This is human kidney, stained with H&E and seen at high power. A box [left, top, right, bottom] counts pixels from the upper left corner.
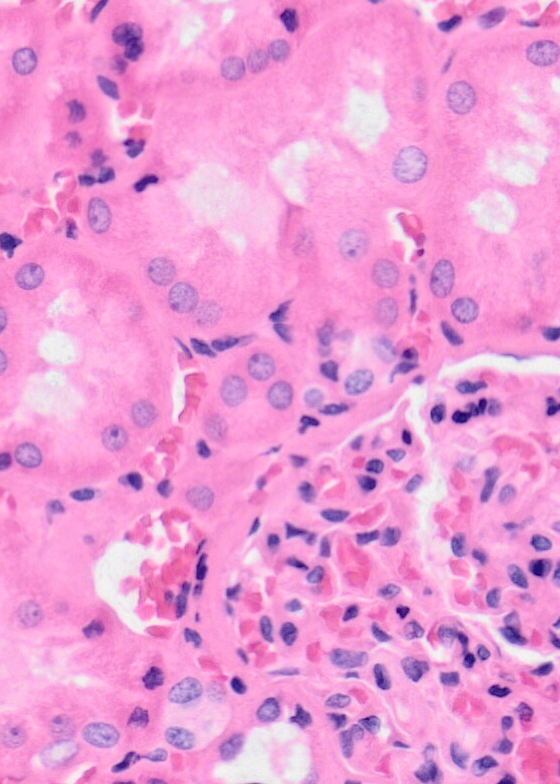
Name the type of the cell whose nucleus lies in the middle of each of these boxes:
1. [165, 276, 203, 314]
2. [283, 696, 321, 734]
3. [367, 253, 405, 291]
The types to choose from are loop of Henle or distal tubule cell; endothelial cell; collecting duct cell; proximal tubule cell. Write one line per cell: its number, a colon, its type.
1: proximal tubule cell
2: loop of Henle or distal tubule cell
3: proximal tubule cell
